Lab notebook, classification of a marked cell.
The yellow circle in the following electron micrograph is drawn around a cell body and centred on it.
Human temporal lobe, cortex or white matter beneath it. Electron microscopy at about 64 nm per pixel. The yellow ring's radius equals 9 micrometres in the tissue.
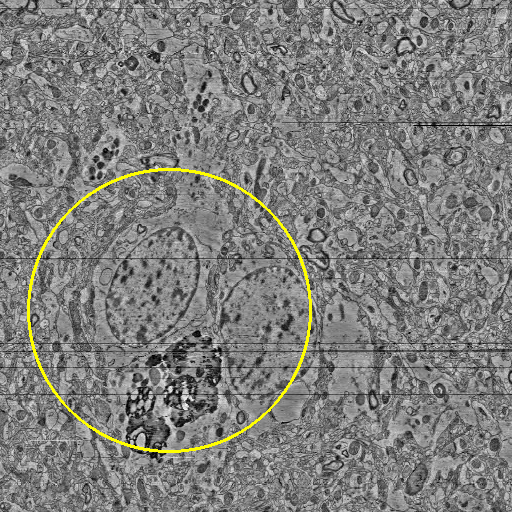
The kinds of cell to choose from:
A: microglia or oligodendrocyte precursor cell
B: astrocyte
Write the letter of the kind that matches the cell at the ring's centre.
B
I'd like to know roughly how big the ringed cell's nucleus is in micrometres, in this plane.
At approximately 8 by 5 micrometres, the nucleus is clearly longer than it is wide in this plane.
